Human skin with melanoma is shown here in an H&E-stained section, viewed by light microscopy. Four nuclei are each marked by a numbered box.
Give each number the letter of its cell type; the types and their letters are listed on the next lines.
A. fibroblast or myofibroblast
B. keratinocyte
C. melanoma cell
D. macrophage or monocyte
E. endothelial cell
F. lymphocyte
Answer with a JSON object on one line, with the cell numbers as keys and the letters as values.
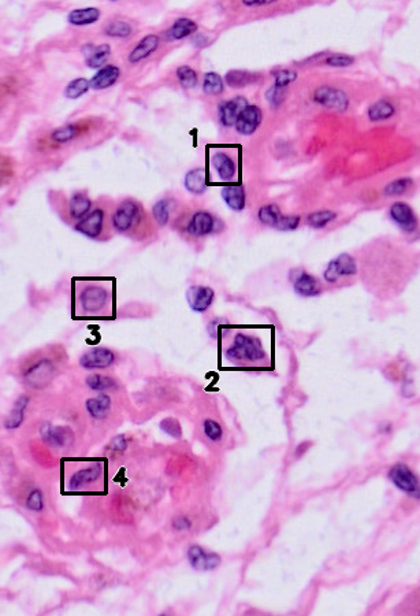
{"1": "F", "2": "D", "3": "D", "4": "D"}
